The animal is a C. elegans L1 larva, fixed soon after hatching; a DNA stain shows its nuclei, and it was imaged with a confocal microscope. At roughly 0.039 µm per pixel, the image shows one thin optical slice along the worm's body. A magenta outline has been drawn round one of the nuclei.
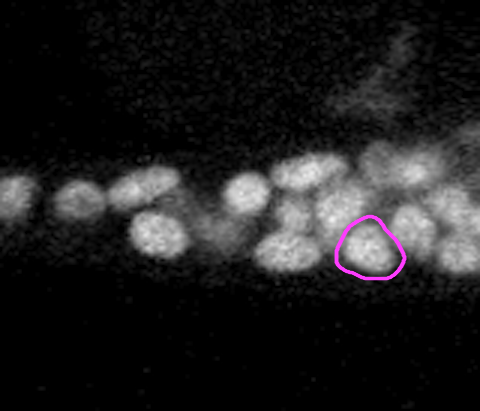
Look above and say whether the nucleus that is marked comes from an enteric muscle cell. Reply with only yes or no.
yes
